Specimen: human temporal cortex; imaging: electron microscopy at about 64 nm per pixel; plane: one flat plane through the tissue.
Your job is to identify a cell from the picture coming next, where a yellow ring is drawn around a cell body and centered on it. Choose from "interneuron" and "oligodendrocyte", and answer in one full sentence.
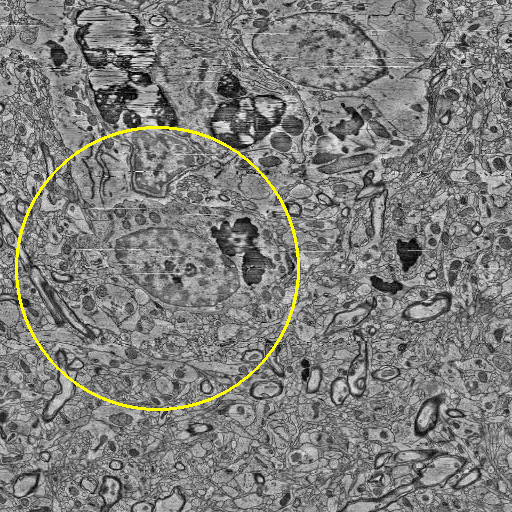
Centered in the yellow ring of the picture is the body of an oligodendrocyte.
